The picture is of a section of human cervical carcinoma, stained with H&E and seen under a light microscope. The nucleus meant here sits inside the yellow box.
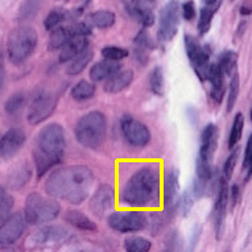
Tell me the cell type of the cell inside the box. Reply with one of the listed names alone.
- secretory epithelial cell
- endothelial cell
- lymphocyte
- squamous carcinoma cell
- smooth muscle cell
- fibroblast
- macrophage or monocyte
secretory epithelial cell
